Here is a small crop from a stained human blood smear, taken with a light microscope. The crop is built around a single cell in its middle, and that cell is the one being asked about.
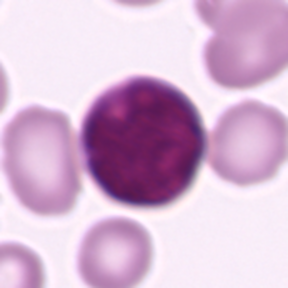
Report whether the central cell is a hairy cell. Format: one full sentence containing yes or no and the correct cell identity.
No, the cell at the centre of the crop corresponds to a myeloblast, not a hairy cell.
